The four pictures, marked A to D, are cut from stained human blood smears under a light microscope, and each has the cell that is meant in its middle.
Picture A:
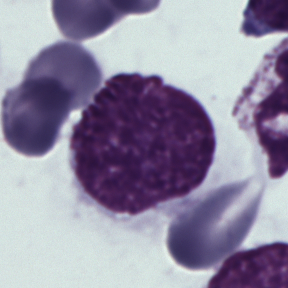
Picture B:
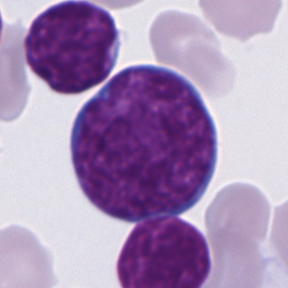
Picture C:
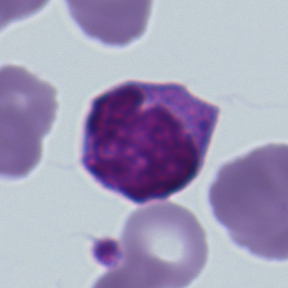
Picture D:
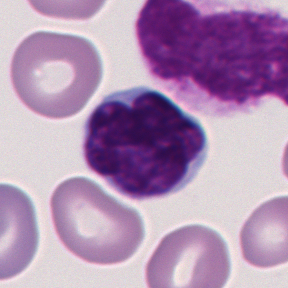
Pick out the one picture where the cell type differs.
D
